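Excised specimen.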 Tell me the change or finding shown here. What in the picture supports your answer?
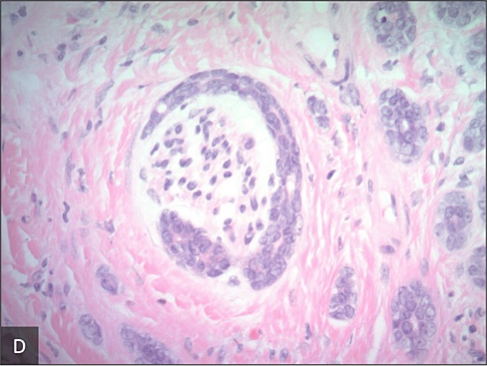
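A central bundle with wavy elongated nuclei in pale fibrillary tissue. A rim of dark epithelial cells encircles this bundle. Further small epithelial nests lie in the surrounding collagen. On this evidence: perineural invasion.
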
